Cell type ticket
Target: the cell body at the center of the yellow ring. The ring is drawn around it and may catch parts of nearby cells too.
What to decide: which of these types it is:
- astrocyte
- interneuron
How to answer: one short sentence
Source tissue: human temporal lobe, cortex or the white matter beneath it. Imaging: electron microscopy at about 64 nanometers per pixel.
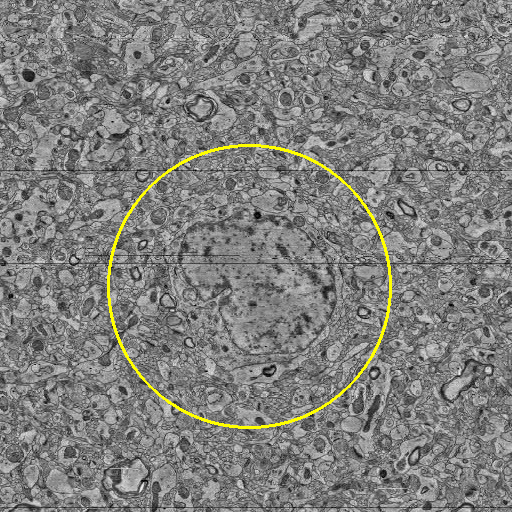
The cell at the center of the ring is an interneuron.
